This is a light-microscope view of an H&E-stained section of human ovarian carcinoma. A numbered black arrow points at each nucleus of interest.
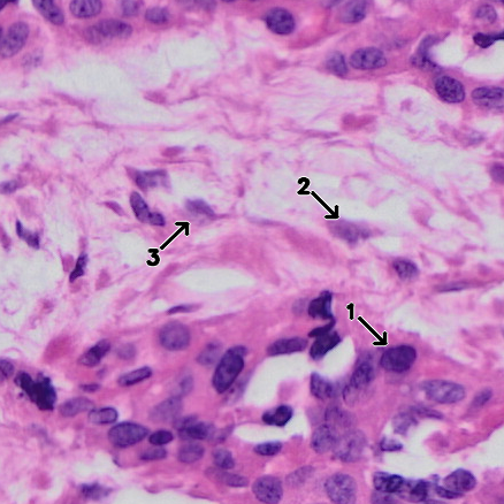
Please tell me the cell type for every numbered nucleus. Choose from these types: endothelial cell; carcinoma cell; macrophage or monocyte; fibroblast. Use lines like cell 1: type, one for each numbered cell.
cell 1: carcinoma cell
cell 2: fibroblast
cell 3: fibroblast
